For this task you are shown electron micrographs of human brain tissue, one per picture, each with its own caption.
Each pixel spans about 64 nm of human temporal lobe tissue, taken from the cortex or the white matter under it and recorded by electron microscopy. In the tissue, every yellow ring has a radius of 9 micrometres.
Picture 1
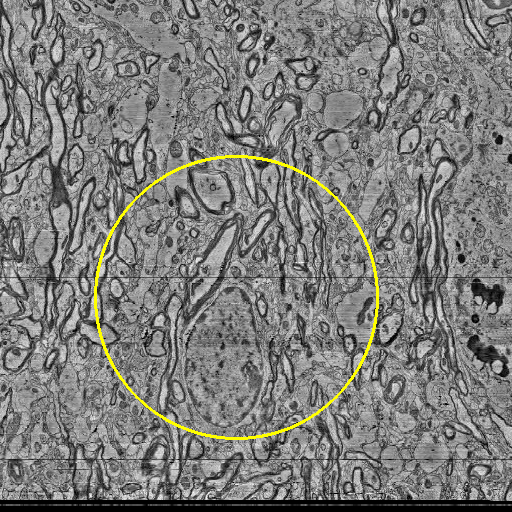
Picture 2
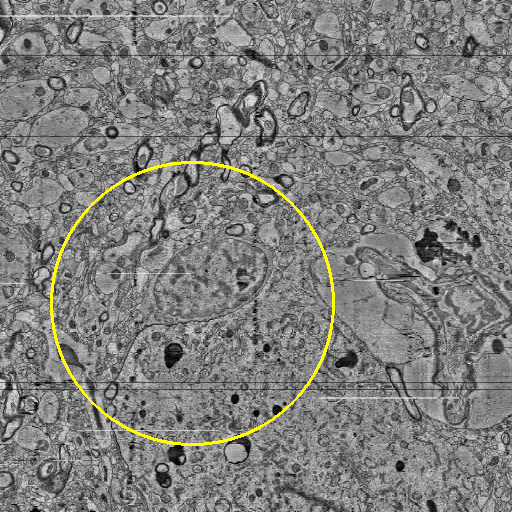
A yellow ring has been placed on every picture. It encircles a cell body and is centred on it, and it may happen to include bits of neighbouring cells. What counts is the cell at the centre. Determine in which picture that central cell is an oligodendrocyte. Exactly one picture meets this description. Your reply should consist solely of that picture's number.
2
